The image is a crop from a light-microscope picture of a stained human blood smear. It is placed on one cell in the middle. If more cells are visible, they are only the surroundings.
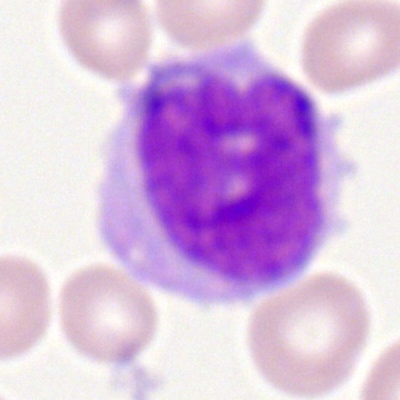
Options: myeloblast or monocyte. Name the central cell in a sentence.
Classification of the middle cell gives a monocyte.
